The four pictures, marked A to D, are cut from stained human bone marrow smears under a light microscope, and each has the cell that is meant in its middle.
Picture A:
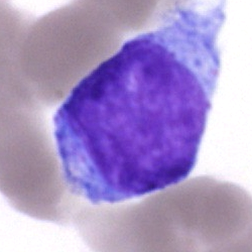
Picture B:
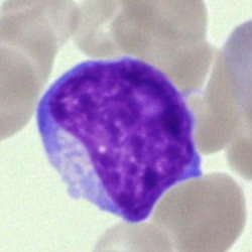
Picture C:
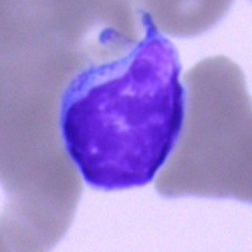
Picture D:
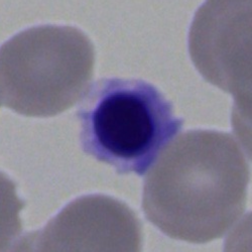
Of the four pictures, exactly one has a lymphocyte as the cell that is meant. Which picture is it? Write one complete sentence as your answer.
The cell in picture C is the lymphocyte.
